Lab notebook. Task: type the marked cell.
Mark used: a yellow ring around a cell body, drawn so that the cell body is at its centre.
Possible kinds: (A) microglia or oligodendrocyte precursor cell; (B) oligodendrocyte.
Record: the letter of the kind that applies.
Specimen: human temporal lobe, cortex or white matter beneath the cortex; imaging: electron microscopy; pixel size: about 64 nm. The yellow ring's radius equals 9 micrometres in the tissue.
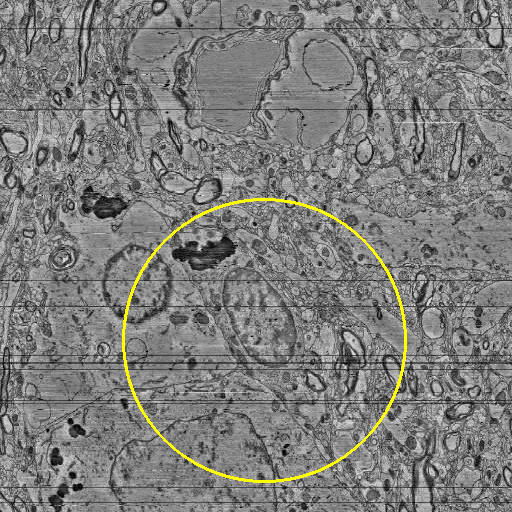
B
